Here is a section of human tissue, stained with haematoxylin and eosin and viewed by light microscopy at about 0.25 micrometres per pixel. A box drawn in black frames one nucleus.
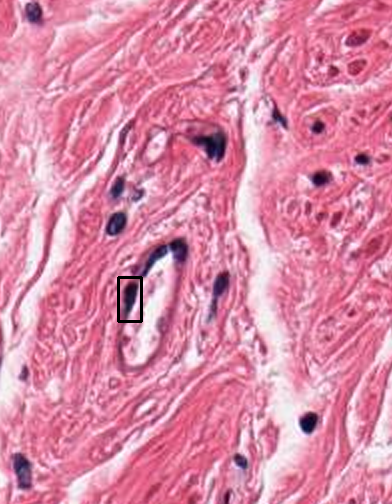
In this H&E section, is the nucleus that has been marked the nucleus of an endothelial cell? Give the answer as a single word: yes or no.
yes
